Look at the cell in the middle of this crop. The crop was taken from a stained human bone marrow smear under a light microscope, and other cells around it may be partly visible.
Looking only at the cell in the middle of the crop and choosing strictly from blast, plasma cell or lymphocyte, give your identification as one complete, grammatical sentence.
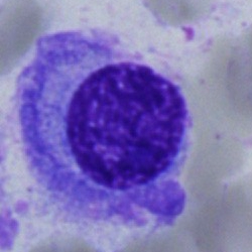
The middle position in this crop is taken by a plasma cell.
